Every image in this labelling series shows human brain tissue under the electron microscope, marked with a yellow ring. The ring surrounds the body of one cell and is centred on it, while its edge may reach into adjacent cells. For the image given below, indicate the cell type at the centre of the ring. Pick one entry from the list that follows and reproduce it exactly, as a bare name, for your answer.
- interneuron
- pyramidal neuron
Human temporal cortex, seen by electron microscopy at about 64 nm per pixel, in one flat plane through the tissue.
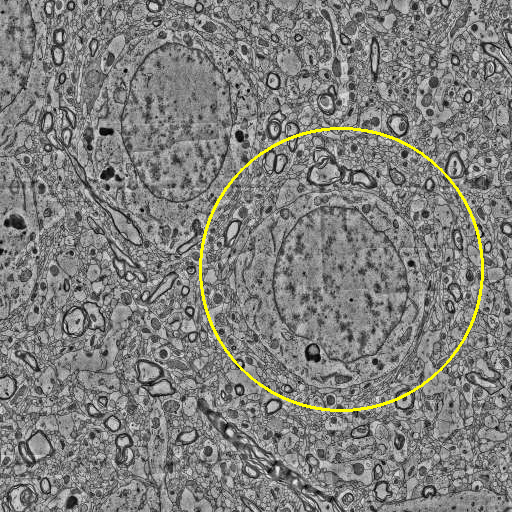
pyramidal neuron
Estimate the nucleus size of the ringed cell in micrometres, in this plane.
Roughly 10 micrometres by 9 micrometres, in this plane.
